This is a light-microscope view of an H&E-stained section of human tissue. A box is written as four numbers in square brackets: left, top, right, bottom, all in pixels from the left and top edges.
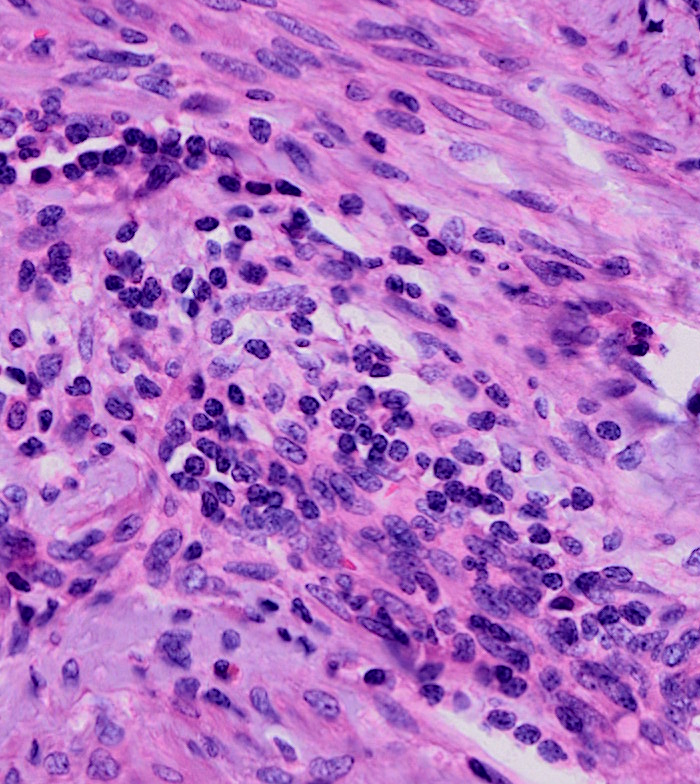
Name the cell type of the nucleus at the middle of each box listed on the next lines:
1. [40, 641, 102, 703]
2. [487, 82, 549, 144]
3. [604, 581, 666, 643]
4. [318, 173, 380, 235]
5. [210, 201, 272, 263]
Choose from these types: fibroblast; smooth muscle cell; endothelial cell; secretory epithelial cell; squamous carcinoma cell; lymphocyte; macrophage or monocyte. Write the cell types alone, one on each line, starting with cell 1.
fibroblast
smooth muscle cell
lymphocyte
lymphocyte
lymphocyte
